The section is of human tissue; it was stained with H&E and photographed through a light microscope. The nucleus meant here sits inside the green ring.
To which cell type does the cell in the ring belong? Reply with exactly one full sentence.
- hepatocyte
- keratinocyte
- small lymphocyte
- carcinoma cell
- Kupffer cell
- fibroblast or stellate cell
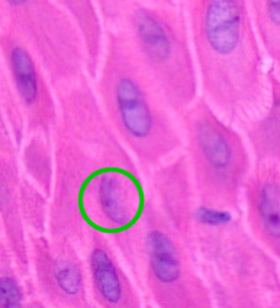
Right, so the cell in the ring is a keratinocyte, to answer that.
